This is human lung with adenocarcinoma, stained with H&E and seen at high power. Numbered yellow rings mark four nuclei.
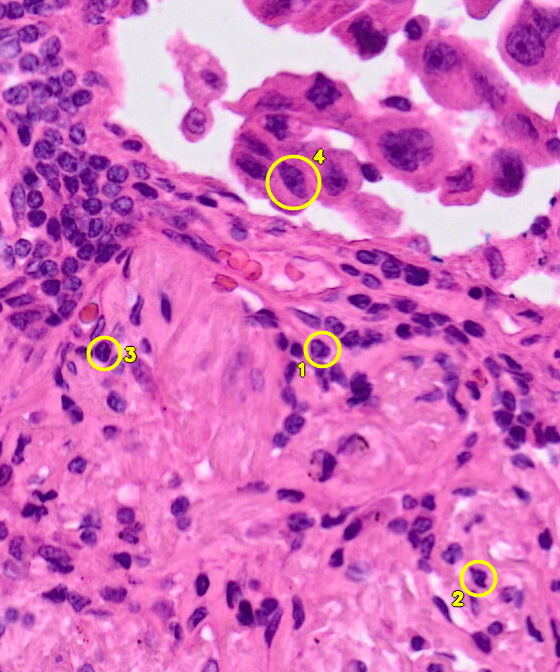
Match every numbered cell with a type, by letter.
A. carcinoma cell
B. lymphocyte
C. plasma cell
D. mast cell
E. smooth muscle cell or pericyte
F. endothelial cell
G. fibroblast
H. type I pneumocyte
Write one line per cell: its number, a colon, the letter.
1: B
2: B
3: B
4: A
